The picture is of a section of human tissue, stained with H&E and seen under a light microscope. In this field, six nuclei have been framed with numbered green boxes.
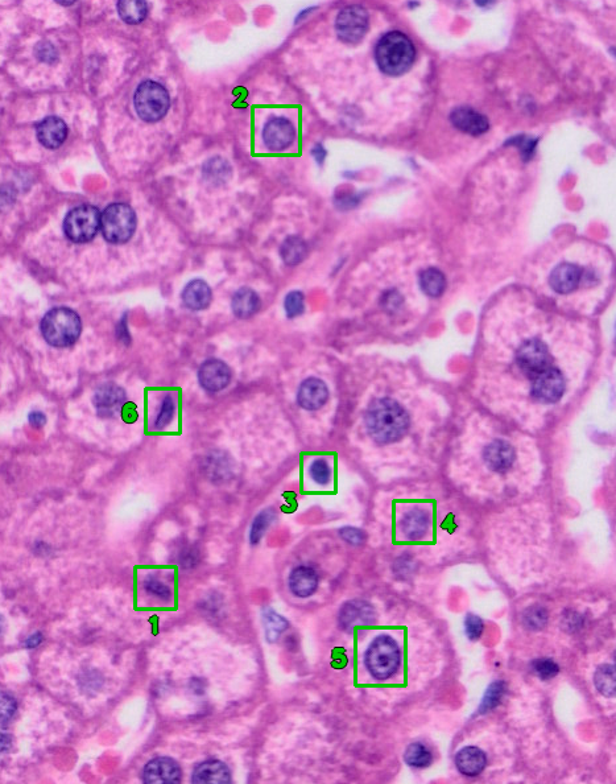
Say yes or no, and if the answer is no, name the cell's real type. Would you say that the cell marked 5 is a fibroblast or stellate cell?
No, it is a hepatocyte.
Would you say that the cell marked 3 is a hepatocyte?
No, it is a lymphocyte.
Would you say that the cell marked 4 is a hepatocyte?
Yes.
